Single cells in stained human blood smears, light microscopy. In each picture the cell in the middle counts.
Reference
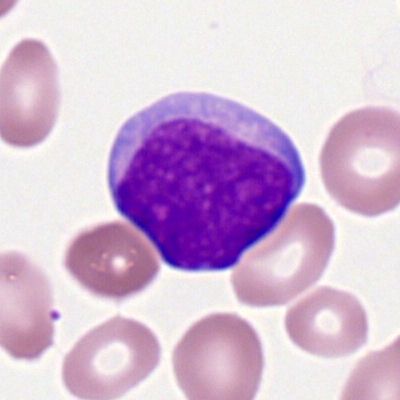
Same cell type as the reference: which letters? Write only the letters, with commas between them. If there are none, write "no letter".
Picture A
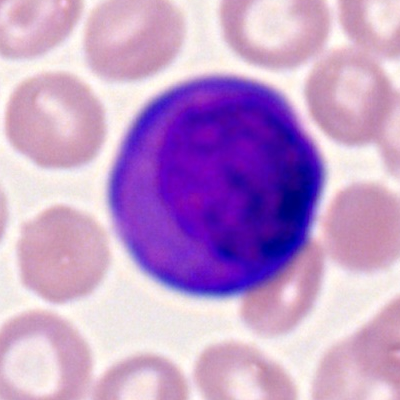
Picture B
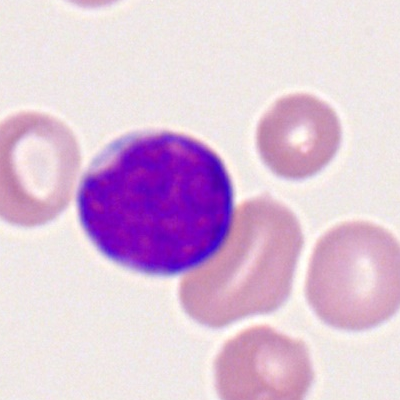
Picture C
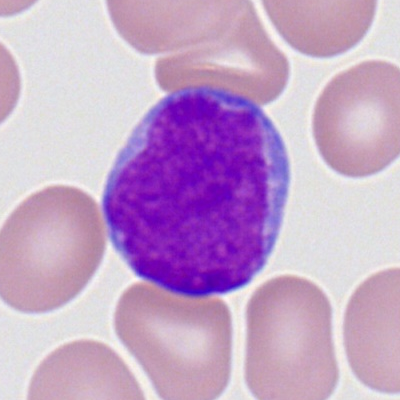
A, B, C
